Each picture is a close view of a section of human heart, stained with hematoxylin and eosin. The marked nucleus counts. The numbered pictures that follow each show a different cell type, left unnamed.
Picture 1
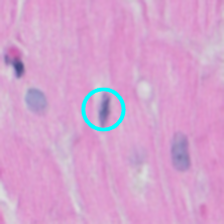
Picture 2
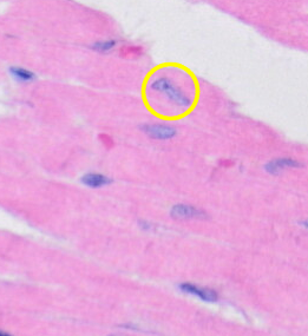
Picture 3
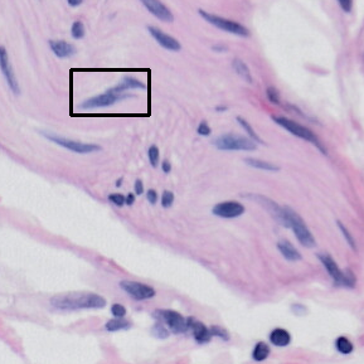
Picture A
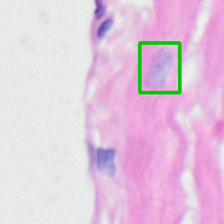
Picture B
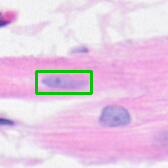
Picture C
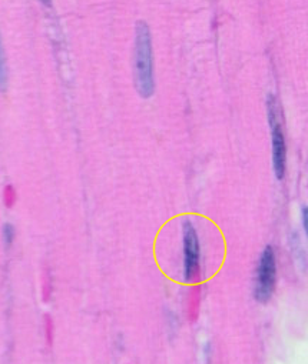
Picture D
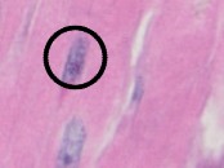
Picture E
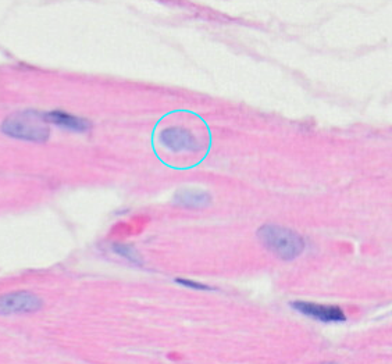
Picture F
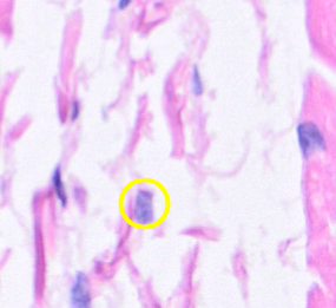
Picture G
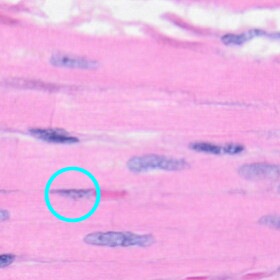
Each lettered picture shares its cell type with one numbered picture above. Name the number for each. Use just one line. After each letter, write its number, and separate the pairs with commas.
A 2, B 2, C 1, D 1, E 2, F 3, G 1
